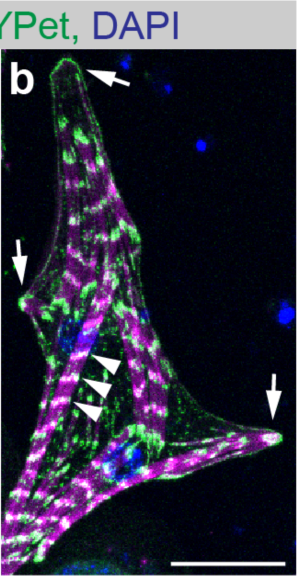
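This is the end of a differentiated muscle fiber, spreading out into several tapered tips. Green spots and bands lie across the myofibrils at repeated intervals, and the green is also gathered at the pointed tips of the fiber. Blue nuclei sit within the fiber among the myofibrils.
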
